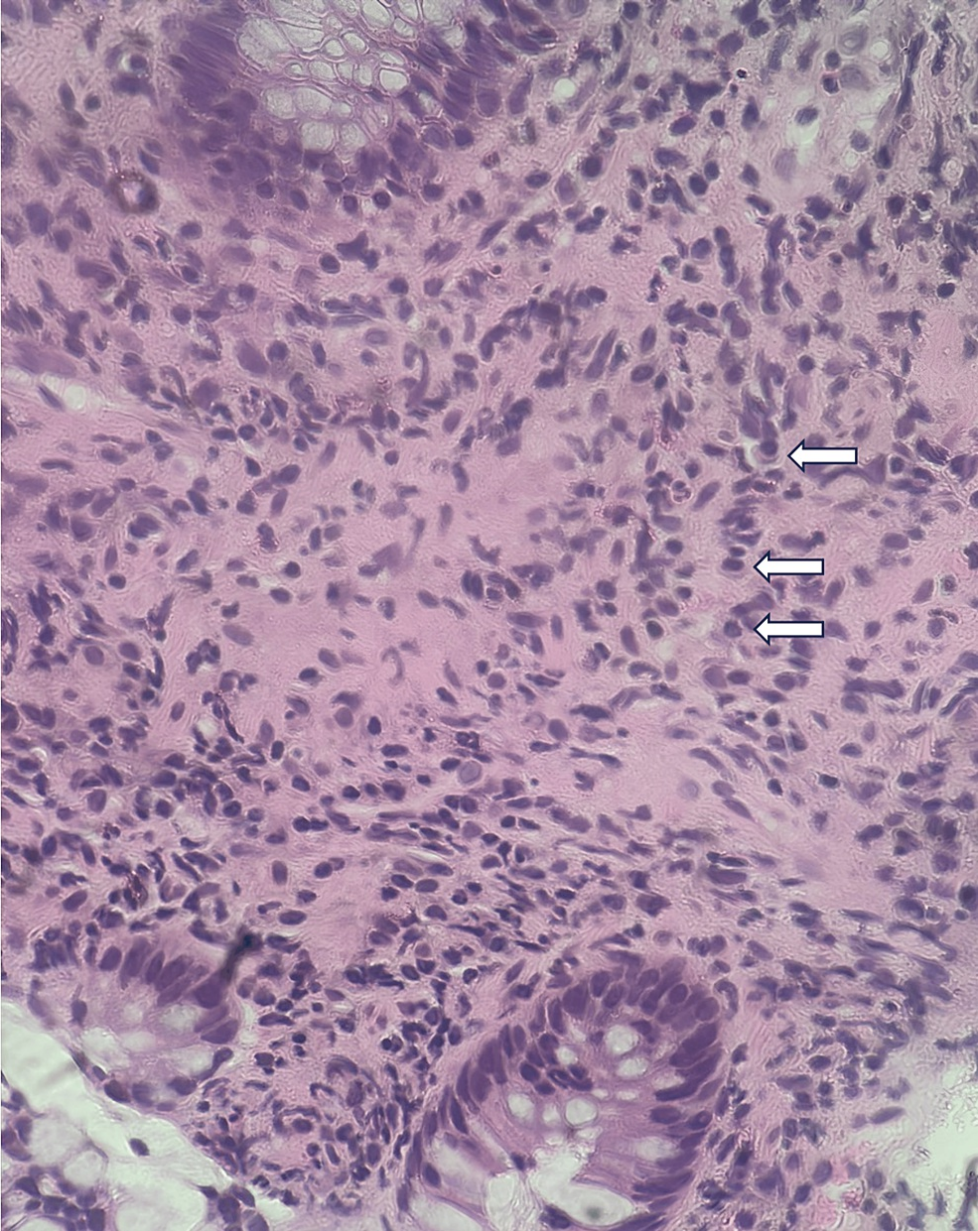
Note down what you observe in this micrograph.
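This is colonic mucosa in which only a few crypts remain at the edges. The crypts are lined by columnar cells with clear goblet cell vacuoles. The lamina propria between them is widely expanded by crowded cells with dark purple, round to oval and elongated nuclei, which are scattered in pale pink stroma.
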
